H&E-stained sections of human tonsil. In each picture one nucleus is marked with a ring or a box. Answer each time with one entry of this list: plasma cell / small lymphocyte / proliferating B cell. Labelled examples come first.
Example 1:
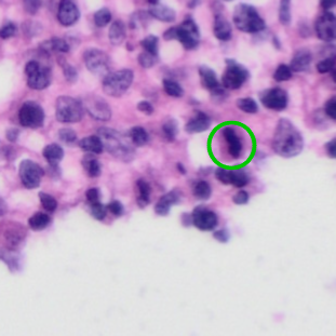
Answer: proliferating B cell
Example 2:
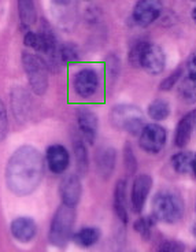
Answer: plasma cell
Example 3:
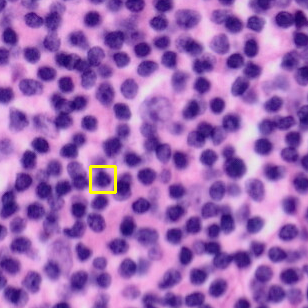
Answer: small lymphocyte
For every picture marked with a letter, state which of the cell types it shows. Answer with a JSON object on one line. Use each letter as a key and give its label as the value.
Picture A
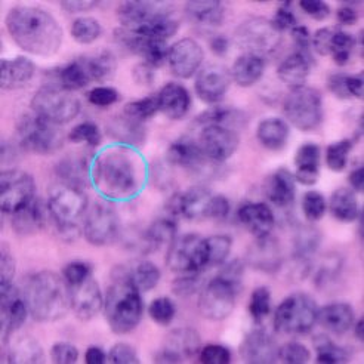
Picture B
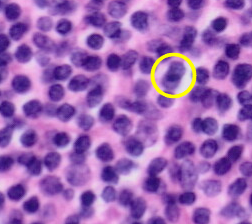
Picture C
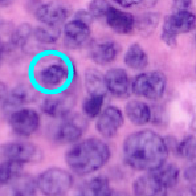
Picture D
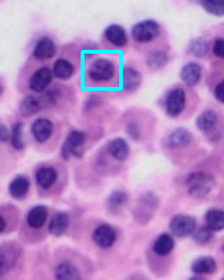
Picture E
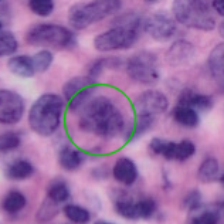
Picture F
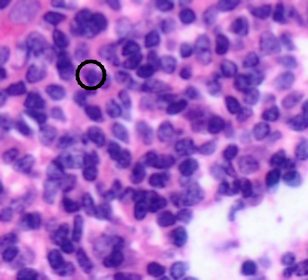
{"A": "proliferating B cell", "B": "small lymphocyte", "C": "proliferating B cell", "D": "plasma cell", "E": "proliferating B cell", "F": "small lymphocyte"}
